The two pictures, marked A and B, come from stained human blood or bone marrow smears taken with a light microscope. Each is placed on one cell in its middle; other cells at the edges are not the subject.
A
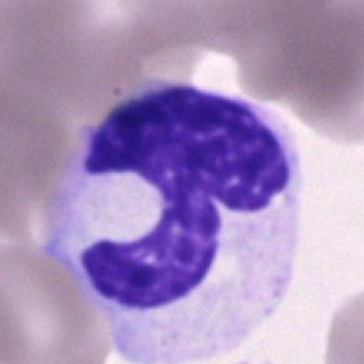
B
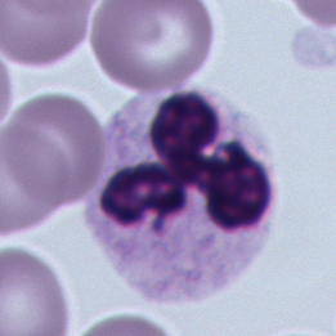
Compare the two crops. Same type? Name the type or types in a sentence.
Yes, as an answer for this item, both crops show segmented neutrophils.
